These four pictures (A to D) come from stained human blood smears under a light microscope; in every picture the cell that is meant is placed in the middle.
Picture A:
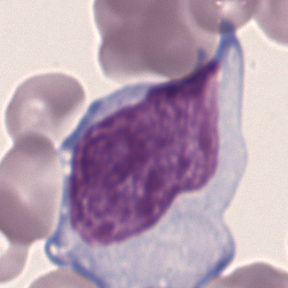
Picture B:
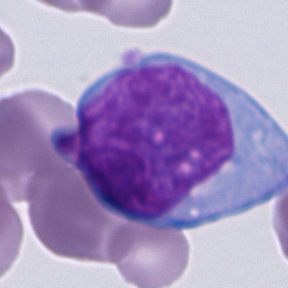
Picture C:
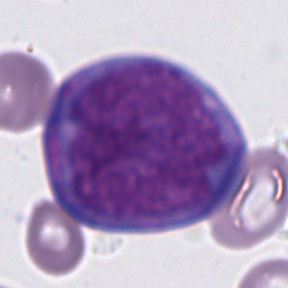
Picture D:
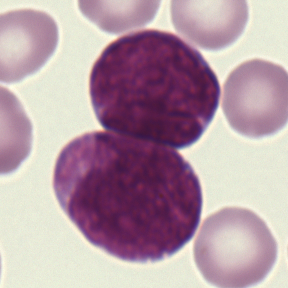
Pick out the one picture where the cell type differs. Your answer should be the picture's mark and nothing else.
C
